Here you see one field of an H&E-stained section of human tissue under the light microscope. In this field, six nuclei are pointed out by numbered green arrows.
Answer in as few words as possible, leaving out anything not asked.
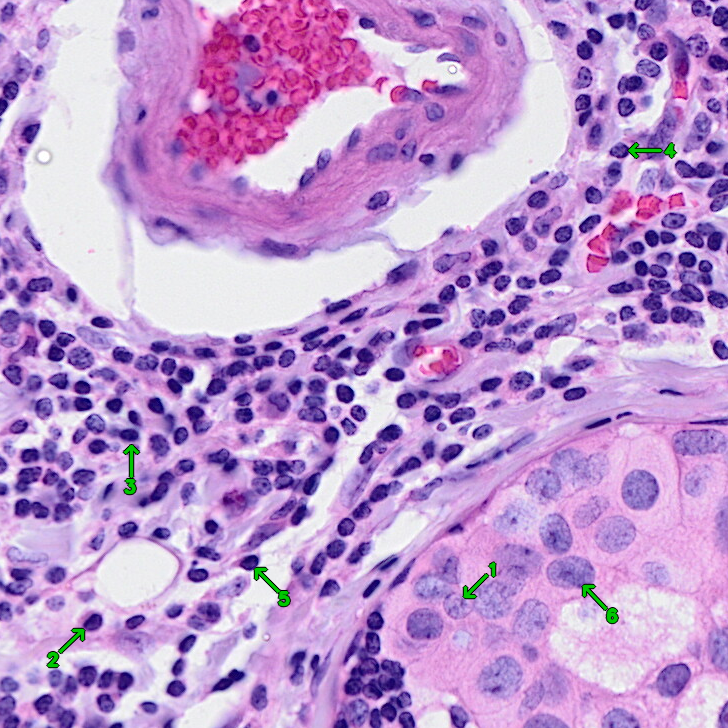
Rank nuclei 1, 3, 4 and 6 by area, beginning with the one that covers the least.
3, 4, 1, 6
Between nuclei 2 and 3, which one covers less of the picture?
3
